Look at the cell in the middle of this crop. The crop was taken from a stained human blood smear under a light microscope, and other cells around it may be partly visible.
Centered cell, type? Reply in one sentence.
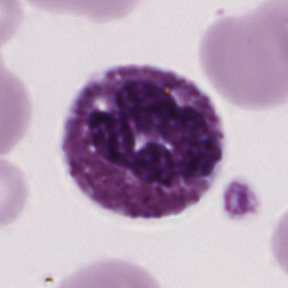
The cell positioned in the middle of the field is an eosinophil.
